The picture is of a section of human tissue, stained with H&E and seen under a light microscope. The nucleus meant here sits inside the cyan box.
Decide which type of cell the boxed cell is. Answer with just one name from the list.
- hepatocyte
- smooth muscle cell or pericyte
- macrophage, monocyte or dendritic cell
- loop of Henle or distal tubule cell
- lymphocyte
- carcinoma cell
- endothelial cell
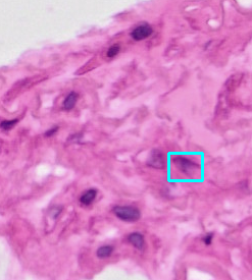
smooth muscle cell or pericyte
